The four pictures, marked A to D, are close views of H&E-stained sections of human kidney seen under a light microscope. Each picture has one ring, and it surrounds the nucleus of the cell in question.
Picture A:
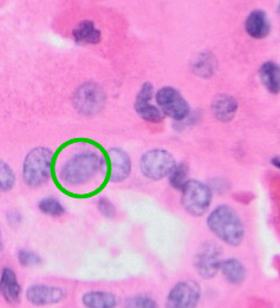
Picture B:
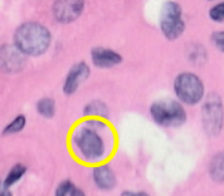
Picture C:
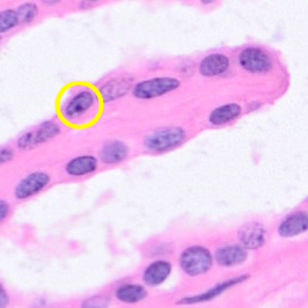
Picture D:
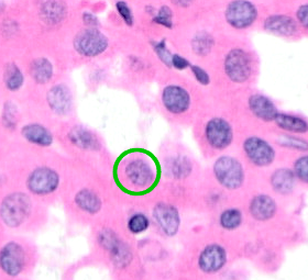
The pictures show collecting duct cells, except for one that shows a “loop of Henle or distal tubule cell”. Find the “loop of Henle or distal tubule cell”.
D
